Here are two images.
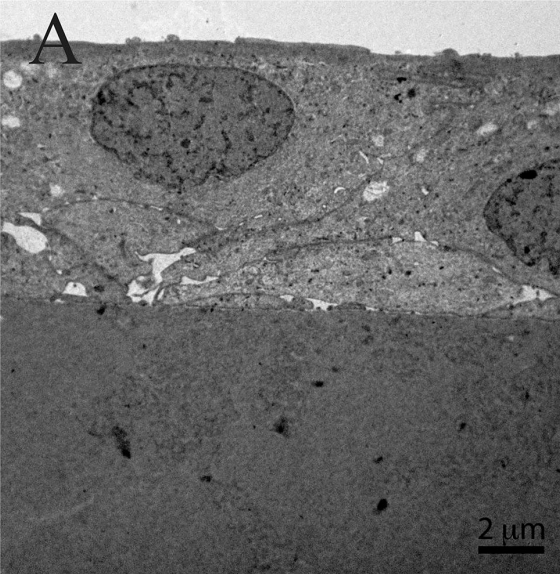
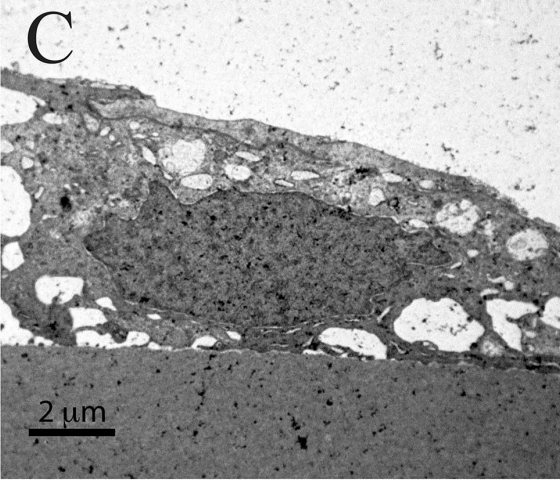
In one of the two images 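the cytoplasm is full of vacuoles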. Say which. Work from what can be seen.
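Second image: many pale round vacuoles crowd the cytoplasm around a flattened nucleus. First image: the cytoplasm is dense and even, with only a few small pale spots. The answer: the second image.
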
